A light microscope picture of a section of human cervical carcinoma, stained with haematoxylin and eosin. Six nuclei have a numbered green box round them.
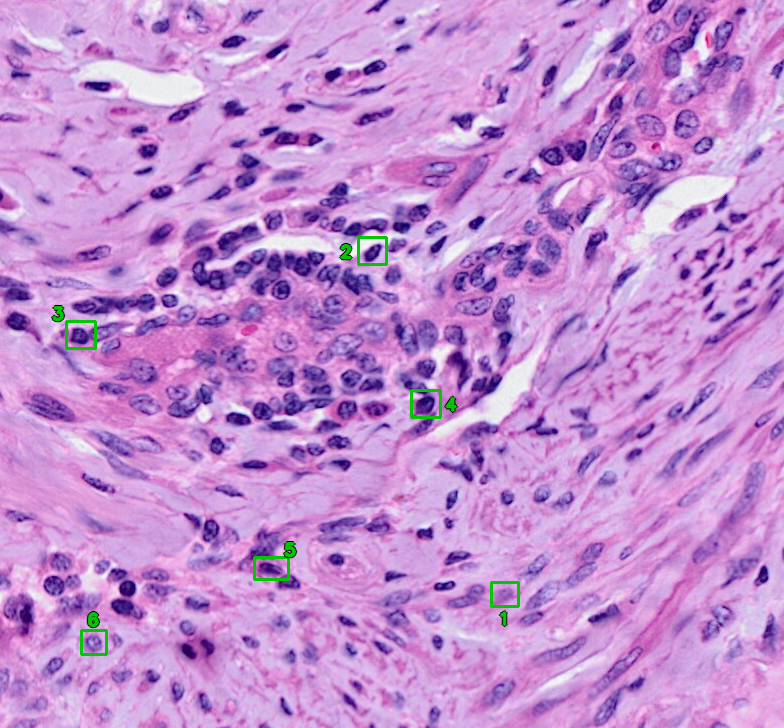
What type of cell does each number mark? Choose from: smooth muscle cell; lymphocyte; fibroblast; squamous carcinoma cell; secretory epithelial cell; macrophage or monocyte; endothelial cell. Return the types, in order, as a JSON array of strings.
["smooth muscle cell", "lymphocyte", "lymphocyte", "lymphocyte", "lymphocyte", "smooth muscle cell"]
